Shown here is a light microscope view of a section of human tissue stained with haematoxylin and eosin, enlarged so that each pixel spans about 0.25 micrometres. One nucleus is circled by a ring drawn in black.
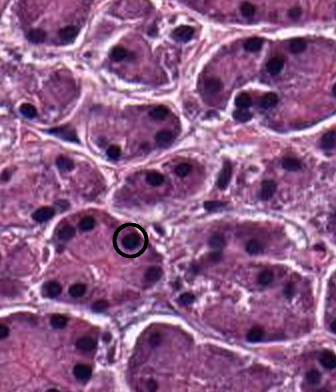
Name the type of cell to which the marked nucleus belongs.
pancreatic acinar cell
